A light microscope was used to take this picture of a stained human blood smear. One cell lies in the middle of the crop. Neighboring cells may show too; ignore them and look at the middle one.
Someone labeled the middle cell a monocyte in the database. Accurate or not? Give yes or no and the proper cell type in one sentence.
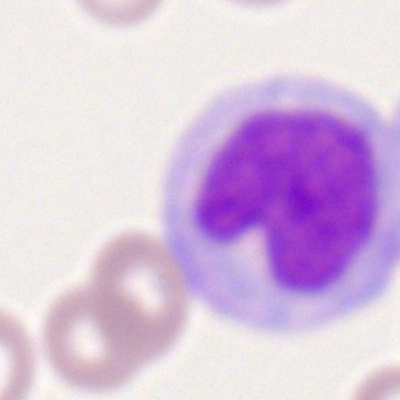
Yes, the cell found in the middle is a monocyte.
